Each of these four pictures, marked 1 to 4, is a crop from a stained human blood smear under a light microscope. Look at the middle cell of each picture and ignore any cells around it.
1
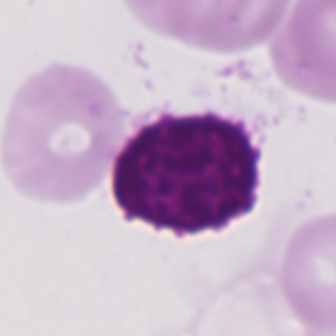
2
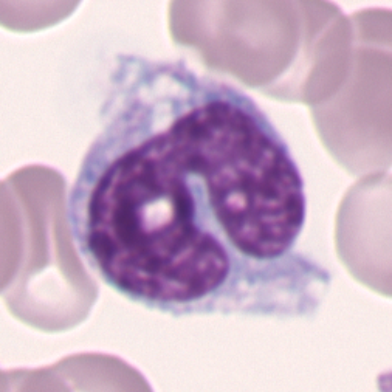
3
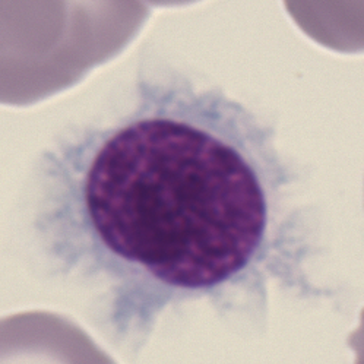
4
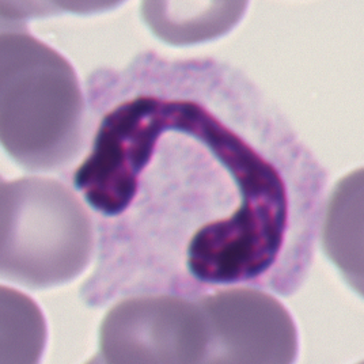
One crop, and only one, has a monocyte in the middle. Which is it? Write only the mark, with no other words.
2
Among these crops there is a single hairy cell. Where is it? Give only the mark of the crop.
3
